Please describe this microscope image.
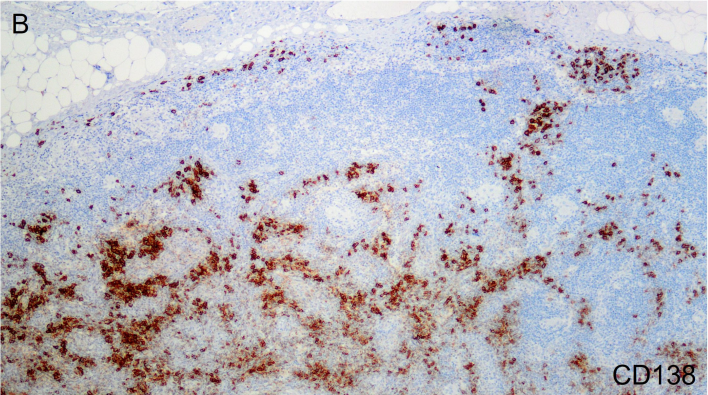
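This lymph node section shows many plasma cells stained brown, standing out against the pale blue counterstained lymphoid tissue. They gather in clusters and irregular sheets, densest in the lower part of the field, while smaller groups and single cells are scattered upward toward the capsule and the surrounding fat at the top. Between the brown clusters lie paler blue areas of lymphoid tissue with a few rounded pale nodules, and the unstained cells there are small and closely packed.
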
